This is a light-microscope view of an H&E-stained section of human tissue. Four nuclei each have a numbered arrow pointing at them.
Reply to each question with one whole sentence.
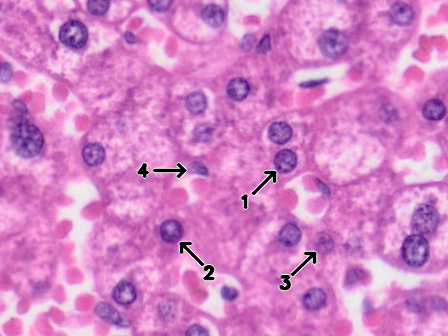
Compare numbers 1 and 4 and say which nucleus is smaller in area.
Number 4 is smaller, since number 1 takes up about 2 times as much area.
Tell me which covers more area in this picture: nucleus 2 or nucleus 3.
At about 1.5 times the area of nucleus 3, nucleus 2 is the larger of the two.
